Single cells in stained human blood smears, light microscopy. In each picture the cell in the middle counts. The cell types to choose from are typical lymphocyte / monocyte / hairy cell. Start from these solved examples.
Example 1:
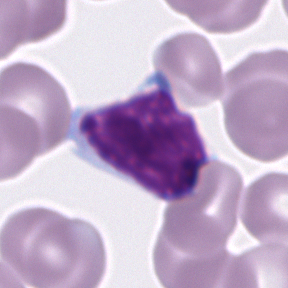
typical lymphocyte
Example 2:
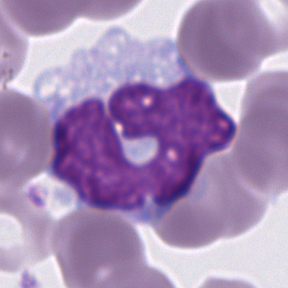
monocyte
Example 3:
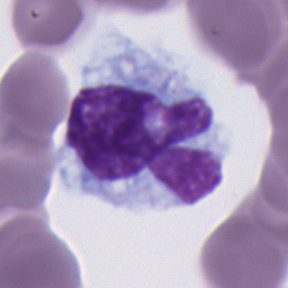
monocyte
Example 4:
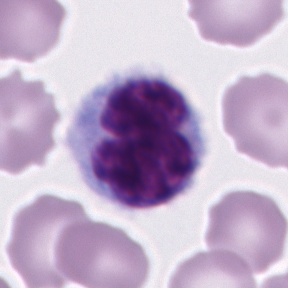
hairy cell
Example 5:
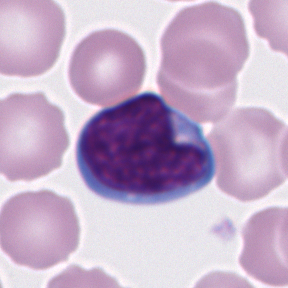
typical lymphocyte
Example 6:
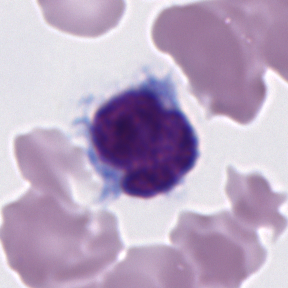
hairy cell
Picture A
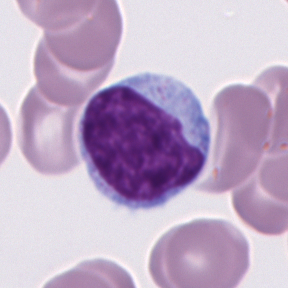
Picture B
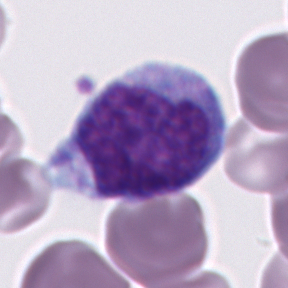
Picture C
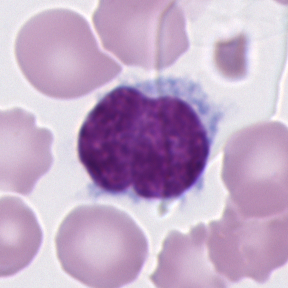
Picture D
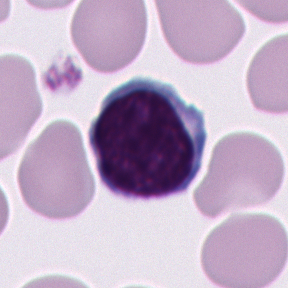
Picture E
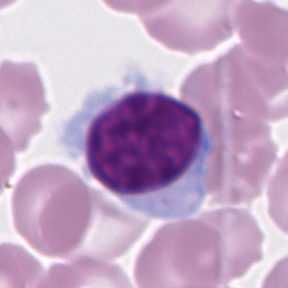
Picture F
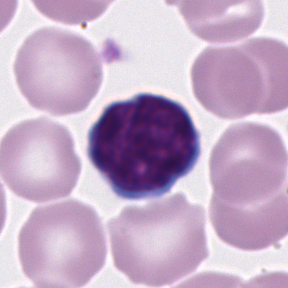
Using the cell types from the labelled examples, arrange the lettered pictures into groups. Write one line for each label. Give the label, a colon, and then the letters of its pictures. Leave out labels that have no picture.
typical lymphocyte: A, D, E, F
monocyte: B
hairy cell: C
